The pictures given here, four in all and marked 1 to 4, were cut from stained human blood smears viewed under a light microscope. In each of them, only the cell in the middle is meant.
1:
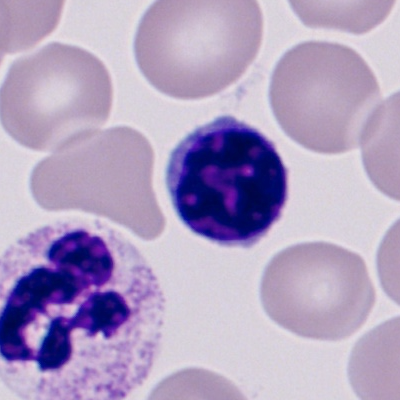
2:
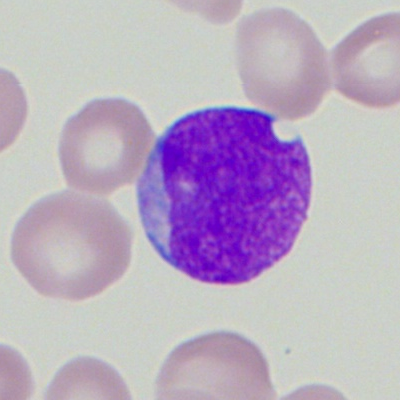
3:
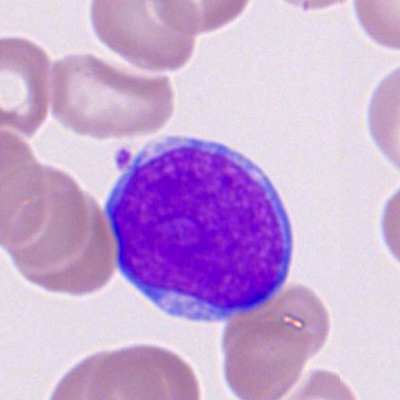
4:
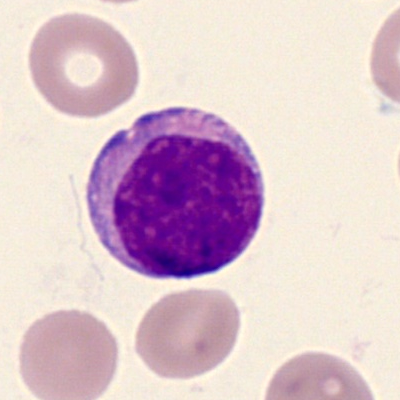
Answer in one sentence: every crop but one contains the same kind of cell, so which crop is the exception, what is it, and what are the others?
The different crop is crop 1, a lymphocyte; all the others show blasts.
